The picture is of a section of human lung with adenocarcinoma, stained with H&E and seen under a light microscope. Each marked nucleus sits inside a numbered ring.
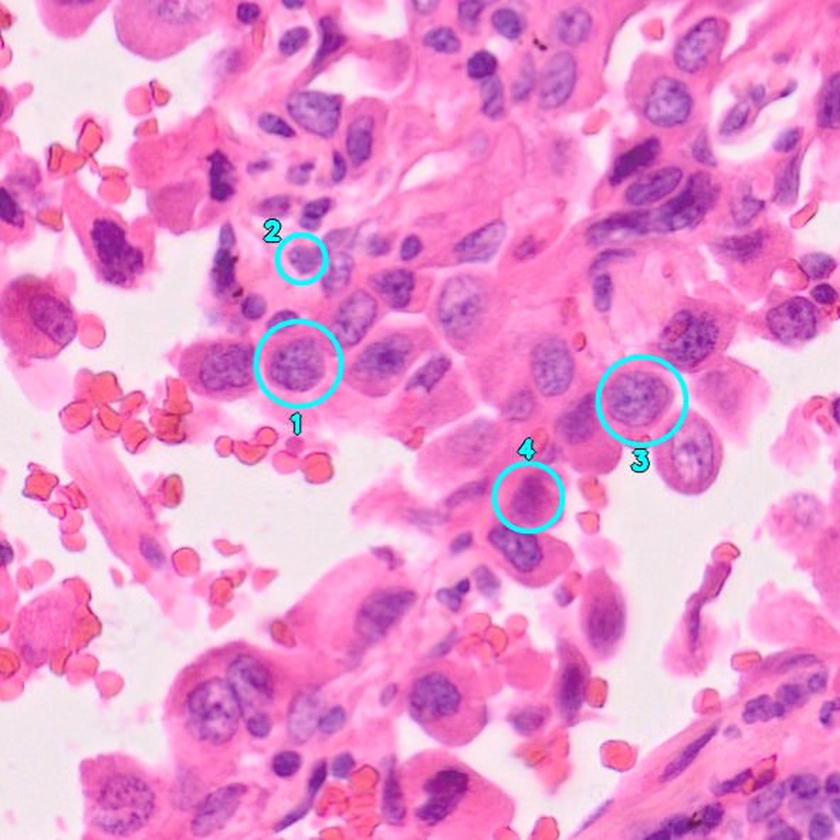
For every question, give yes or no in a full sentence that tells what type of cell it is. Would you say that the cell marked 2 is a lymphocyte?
Yes, on this slide, the cell with number 2 is a lymphocyte.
